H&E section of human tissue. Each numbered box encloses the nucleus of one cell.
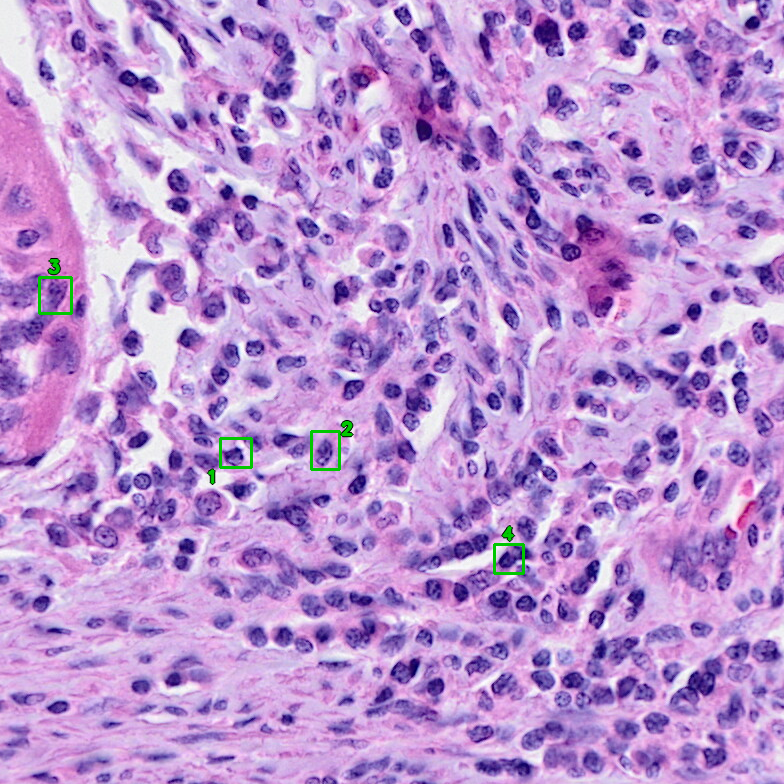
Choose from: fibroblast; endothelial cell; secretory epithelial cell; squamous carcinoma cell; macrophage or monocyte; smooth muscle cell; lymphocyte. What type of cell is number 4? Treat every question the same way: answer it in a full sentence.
The label 4 in this section denotes a lymphocyte.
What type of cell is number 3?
The cell carrying label 3 is identified as a squamous carcinoma cell.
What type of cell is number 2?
Regarding cell 2, this one is a lymphocyte.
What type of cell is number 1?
That cell with number 1 is a lymphocyte.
